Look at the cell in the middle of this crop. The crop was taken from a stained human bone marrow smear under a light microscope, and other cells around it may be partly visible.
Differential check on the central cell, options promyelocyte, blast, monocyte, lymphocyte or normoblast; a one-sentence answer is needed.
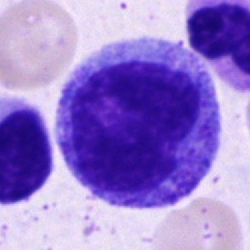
The centrally located cell in the crop is a promyelocyte.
